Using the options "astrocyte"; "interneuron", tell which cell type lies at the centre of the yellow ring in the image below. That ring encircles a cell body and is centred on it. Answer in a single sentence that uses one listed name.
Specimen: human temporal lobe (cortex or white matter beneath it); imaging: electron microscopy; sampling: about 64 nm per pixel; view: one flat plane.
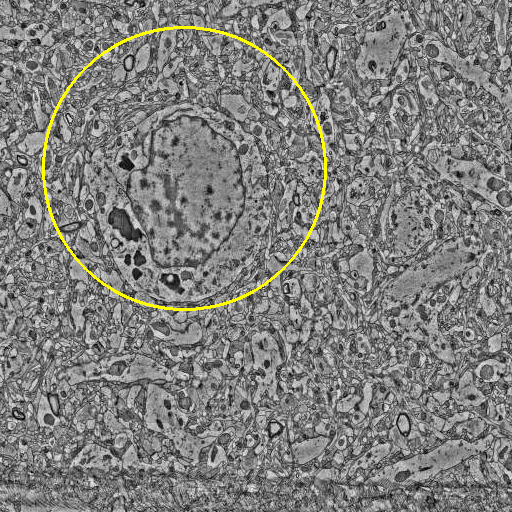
At the centre of the yellow ring lies the body of an interneuron.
